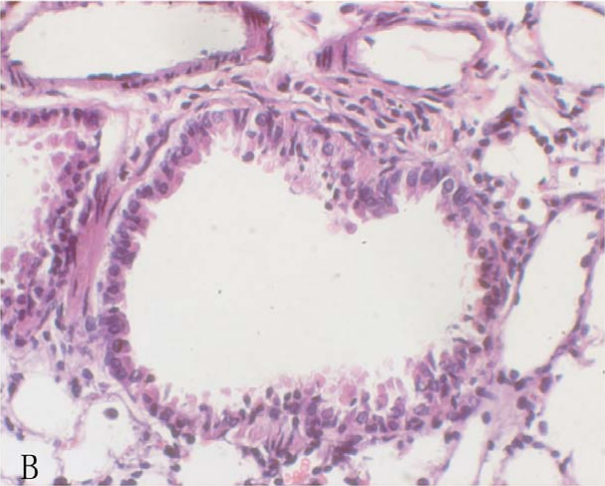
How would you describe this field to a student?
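A bronchus in lung tissue, cut across, has an epithelial lining that is irregular and disorganised, with loose cells and debris projecting into the lumen. A band of pink smooth muscle lies in the wall on the left side, and vessels and alveolar spaces surround the airway.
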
